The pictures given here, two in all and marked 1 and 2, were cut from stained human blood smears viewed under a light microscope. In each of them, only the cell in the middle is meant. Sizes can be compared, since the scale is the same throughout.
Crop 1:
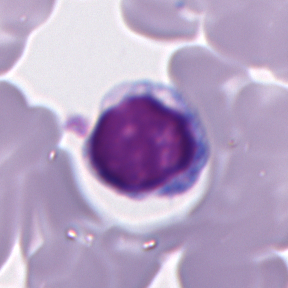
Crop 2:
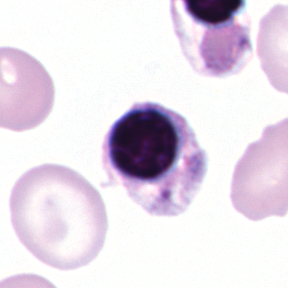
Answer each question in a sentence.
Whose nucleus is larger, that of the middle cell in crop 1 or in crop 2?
It is the nucleus in crop 1, about 2 times as large in area as the one in crop 2.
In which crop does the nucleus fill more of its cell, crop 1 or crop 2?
The nucleus fills more of the cell in crop 1 than in crop 2.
